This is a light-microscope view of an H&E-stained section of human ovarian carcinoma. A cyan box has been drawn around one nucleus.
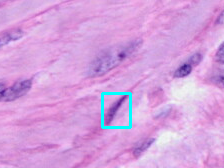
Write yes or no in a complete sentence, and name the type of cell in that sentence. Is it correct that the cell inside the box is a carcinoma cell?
No, the cell inside the box is termed a fibroblast, not a carcinoma cell.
